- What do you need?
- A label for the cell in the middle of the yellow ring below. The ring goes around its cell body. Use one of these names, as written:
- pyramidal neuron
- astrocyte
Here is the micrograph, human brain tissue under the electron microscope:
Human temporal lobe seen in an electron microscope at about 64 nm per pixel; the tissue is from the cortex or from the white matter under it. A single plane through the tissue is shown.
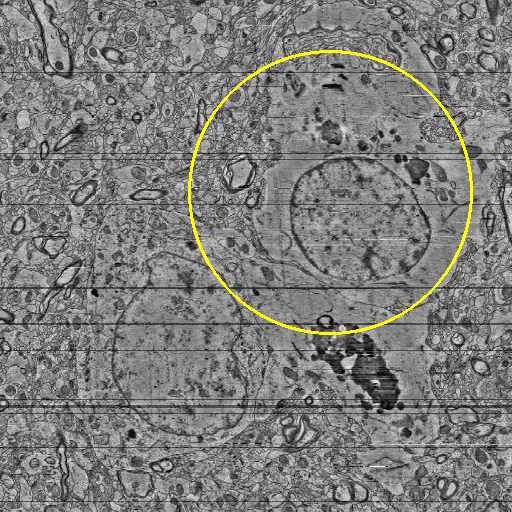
astrocyte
